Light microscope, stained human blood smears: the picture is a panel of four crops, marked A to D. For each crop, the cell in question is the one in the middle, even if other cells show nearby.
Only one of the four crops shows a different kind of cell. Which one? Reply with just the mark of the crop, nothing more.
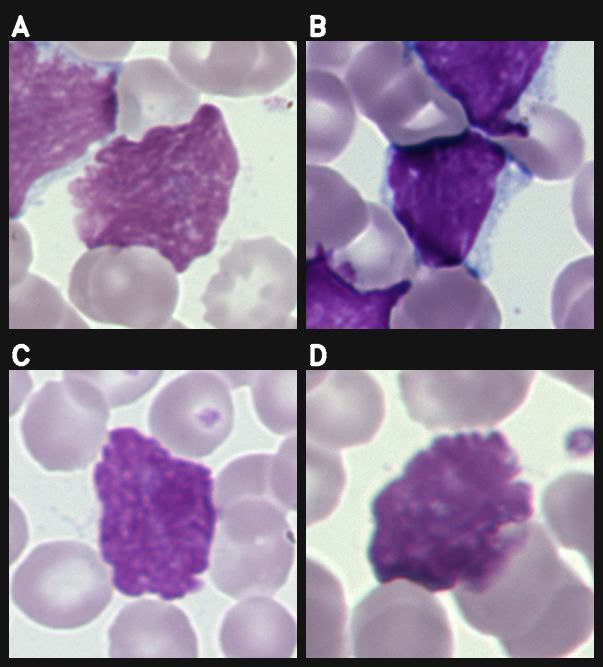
B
